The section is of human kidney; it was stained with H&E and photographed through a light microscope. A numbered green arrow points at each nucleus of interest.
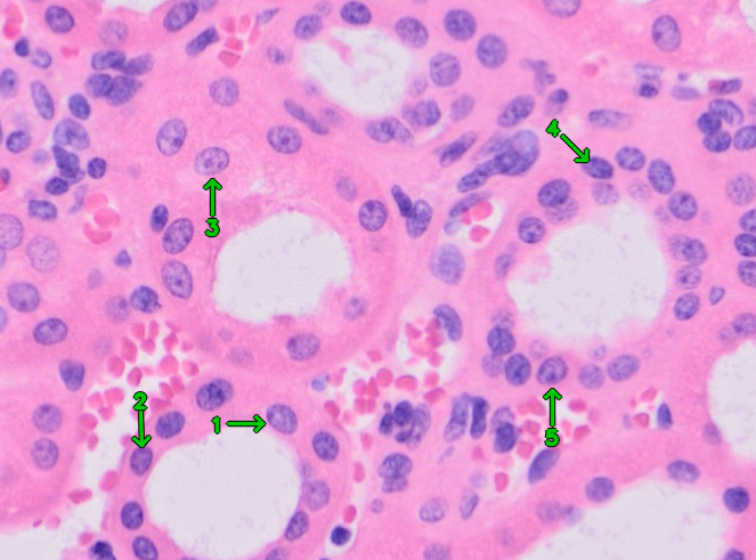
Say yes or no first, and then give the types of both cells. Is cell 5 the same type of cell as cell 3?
No, cell 5 is a collecting duct cell and cell 3 is a proximal tubule cell.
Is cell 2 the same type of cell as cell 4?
Yes, both are collecting duct cells.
